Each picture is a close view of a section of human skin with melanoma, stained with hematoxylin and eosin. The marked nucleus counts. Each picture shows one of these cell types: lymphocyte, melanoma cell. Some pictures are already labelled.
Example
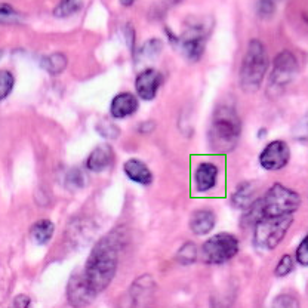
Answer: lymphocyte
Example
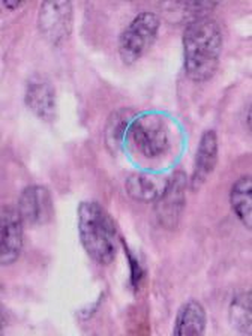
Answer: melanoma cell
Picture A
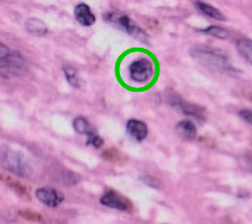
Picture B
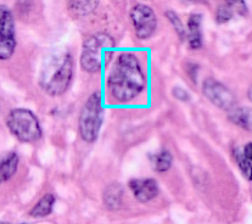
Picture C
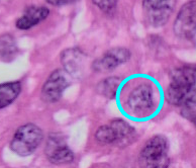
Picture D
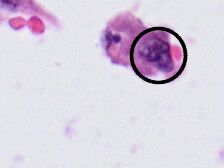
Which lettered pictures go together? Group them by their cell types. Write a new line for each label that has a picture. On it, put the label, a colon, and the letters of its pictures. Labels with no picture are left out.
lymphocyte: A
melanoma cell: B, C, D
